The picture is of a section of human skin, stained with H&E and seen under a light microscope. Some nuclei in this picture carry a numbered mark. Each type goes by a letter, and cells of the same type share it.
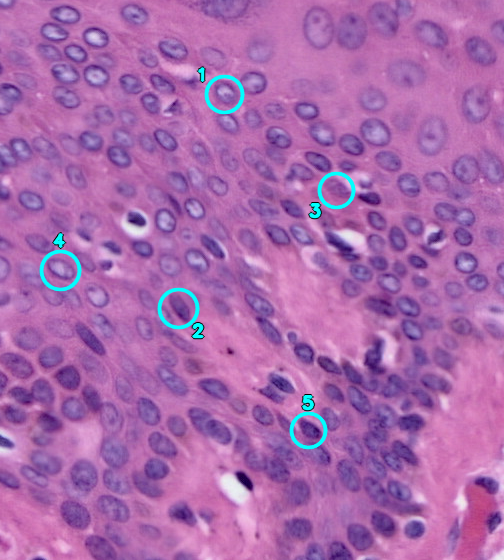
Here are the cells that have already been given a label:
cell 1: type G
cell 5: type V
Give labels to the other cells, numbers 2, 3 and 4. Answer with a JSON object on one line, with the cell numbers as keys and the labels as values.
{"2": "type V", "3": "type V", "4": "type G"}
